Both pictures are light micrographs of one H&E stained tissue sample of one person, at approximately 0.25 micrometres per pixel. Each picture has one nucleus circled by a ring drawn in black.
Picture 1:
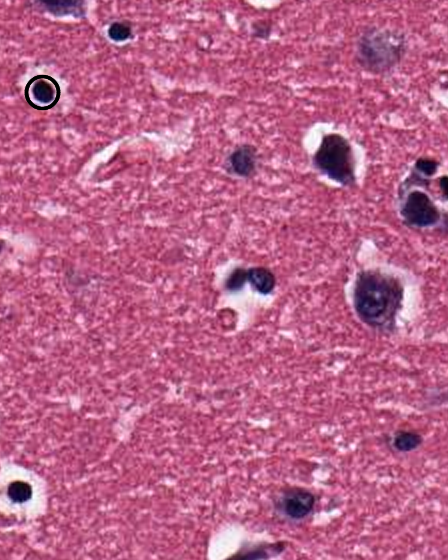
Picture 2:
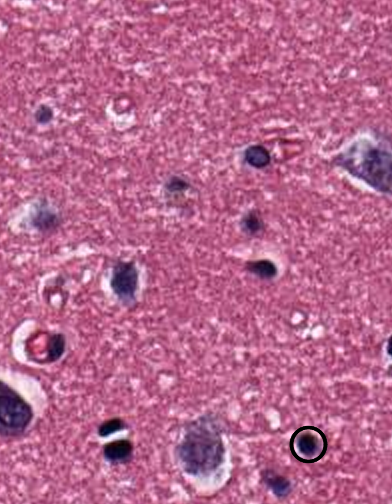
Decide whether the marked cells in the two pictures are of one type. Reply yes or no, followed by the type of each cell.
Yes, both are oligodendrocytes.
